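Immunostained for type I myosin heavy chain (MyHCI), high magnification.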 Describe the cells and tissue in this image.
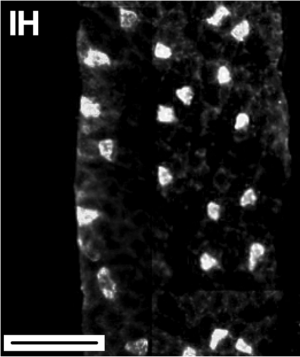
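A vertical band of tissue is cut across into closely packed polygonal profiles with faint grey outlines, with dark background on either side. Scattered among them are many profiles filled with bright white signal, lying singly or near one another in a mosaic.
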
